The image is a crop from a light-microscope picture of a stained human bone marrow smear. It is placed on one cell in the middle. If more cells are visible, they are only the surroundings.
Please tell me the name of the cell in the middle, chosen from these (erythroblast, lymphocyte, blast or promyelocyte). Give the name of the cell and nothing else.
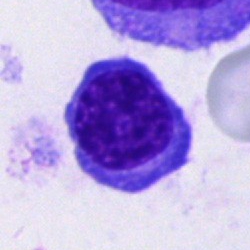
erythroblast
